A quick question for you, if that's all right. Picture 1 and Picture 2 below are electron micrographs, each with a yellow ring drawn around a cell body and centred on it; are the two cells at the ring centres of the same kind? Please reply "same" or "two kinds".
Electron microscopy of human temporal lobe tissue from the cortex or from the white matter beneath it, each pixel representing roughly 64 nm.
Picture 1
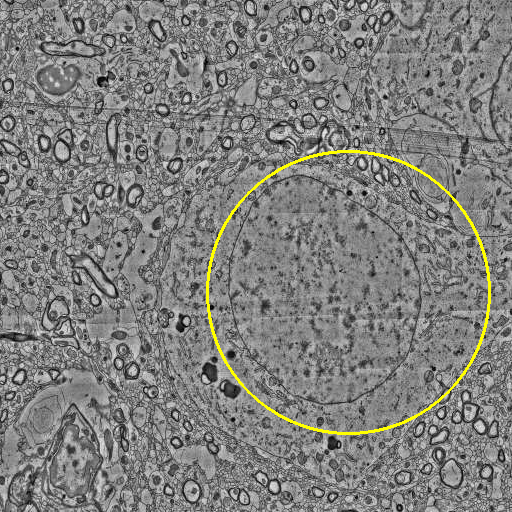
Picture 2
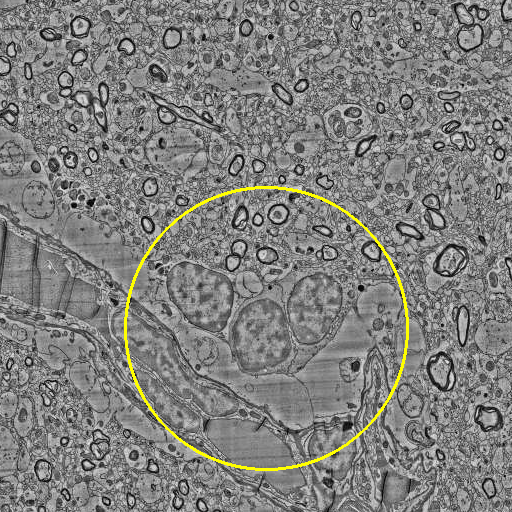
two kinds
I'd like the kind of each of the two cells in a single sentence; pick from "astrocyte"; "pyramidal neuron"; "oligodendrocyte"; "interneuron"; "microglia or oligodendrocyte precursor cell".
The first ring marks a pyramidal neuron, and the second ring marks an oligodendrocyte.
